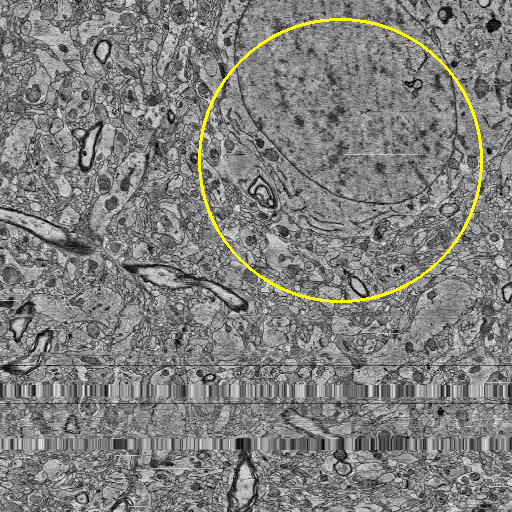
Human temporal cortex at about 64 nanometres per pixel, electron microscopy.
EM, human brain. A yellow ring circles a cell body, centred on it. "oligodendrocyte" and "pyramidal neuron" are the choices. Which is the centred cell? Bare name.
pyramidal neuron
